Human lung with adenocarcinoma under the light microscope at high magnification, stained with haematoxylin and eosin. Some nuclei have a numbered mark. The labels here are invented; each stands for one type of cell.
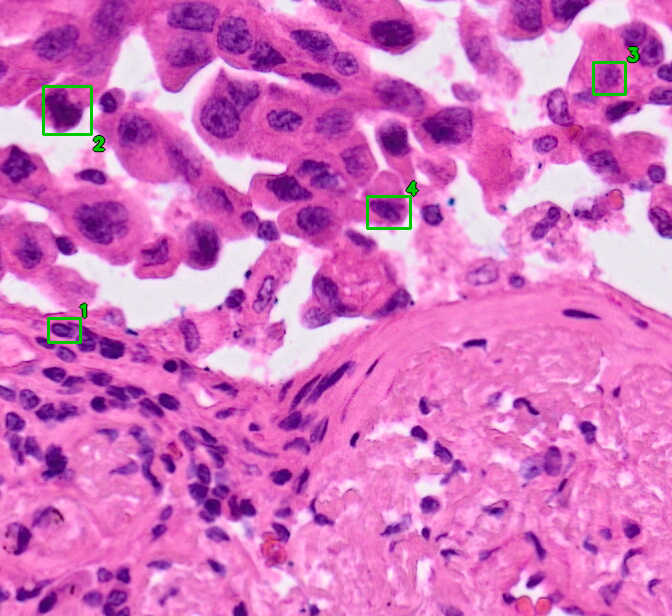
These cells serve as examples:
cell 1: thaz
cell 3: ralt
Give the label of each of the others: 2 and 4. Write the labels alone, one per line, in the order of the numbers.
ralt
ralt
